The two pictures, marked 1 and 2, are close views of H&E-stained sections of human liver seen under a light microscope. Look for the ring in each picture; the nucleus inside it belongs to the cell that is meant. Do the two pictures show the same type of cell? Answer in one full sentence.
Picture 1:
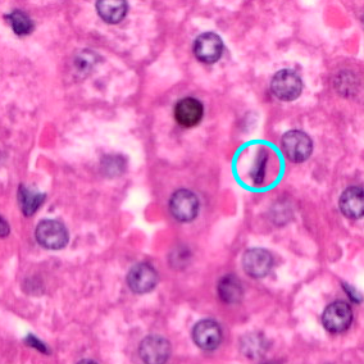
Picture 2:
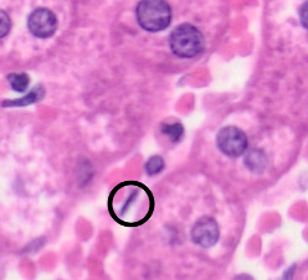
Yes, they are the same type: both are endothelial cells.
